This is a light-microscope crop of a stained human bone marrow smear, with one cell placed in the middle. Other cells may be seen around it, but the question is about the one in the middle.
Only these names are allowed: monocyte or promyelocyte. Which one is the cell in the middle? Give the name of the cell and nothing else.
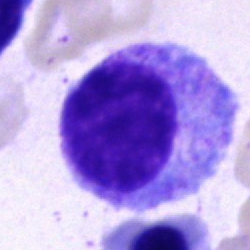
promyelocyte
